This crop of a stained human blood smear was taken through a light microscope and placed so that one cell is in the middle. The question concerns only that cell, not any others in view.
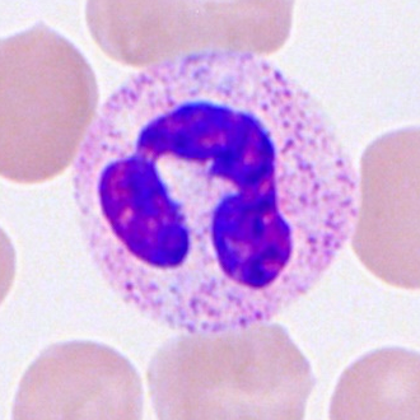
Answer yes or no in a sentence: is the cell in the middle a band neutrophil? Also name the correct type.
No, the label for the central cell is a segmented neutrophil, not a band neutrophil.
